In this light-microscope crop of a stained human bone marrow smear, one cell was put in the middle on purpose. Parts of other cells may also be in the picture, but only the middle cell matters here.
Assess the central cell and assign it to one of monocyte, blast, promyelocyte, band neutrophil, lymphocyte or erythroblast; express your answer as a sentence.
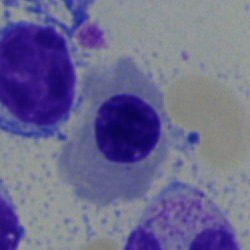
The single cell at the center of the crop is an erythroblast.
